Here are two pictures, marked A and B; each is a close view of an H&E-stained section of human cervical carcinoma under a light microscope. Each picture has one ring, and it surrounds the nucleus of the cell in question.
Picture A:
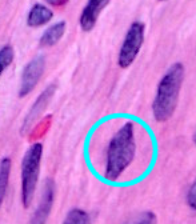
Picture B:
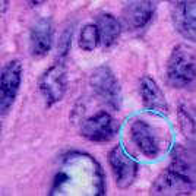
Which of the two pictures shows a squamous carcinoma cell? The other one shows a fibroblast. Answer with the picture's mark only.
B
